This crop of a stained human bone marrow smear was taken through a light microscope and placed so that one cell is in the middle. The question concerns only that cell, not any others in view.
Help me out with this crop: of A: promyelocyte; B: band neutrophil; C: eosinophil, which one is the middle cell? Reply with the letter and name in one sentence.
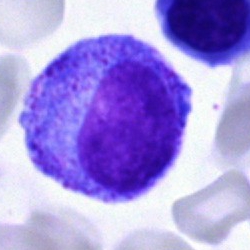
The cell in the middle is correctly identified as a promyelocyte in option A.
